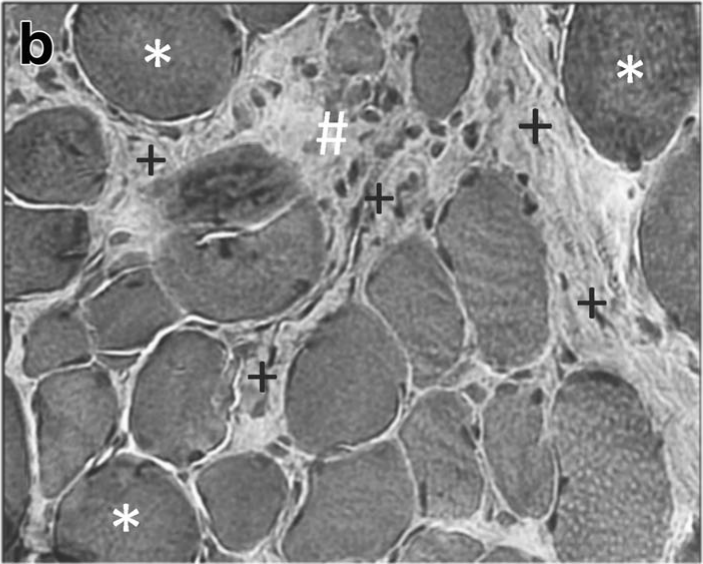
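This cross section of dystrophic skeletal muscle shows fibers of markedly varied size, many of them rounded rather than polygonal. The fibers are separated by broad pale bands of connective tissue. In places, many small dark nuclei crowd the tissue between the fibers.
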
